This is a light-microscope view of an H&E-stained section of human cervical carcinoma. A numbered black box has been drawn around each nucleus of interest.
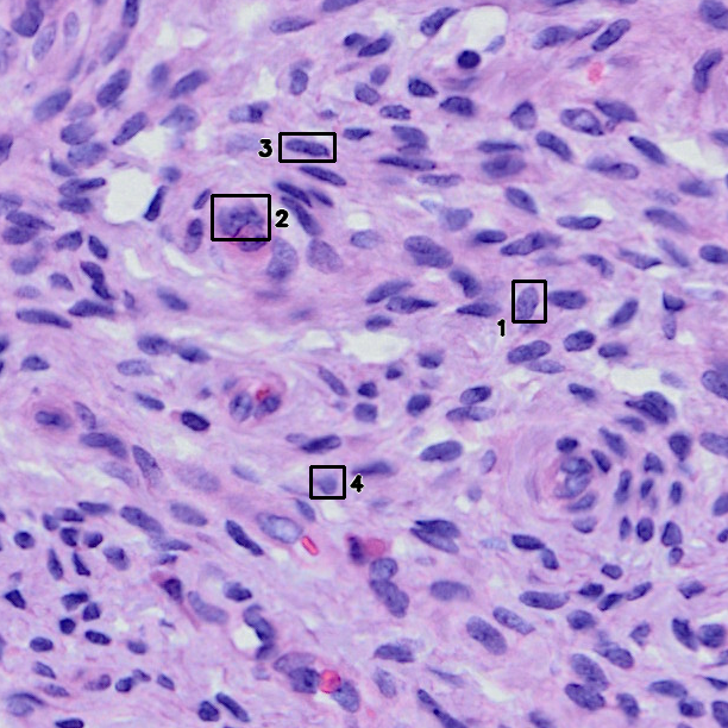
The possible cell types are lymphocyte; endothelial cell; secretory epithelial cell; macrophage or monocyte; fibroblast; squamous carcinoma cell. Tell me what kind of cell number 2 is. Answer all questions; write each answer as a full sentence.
The cell identified by number 2 is an endothelial cell.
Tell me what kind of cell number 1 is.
The label 1 in this section denotes a fibroblast.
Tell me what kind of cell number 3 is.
Number 3 among the marked cells is a fibroblast.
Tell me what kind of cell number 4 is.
Cell 4 in the field of view is a fibroblast.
